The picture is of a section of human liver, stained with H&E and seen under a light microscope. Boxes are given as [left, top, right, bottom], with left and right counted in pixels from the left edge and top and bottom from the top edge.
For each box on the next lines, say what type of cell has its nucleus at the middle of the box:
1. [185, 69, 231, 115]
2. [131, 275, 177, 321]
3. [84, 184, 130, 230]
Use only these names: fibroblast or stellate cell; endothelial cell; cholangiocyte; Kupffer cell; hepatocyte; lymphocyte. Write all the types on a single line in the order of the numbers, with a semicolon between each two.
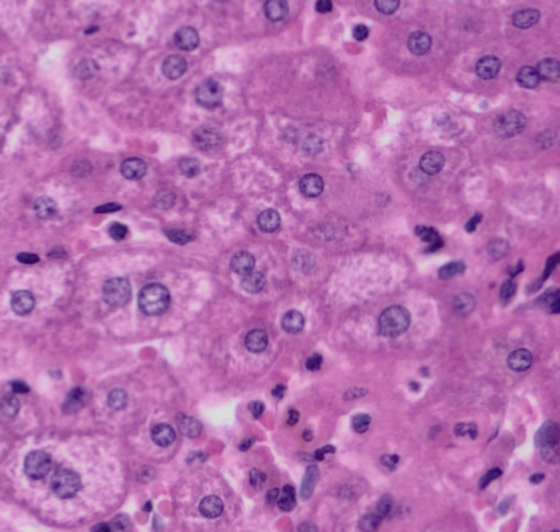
hepatocyte; hepatocyte; fibroblast or stellate cell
